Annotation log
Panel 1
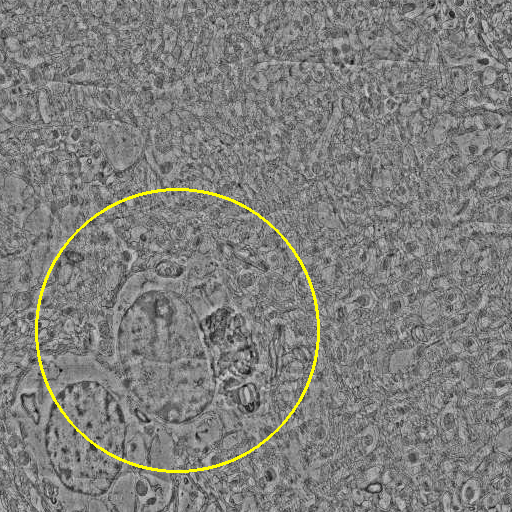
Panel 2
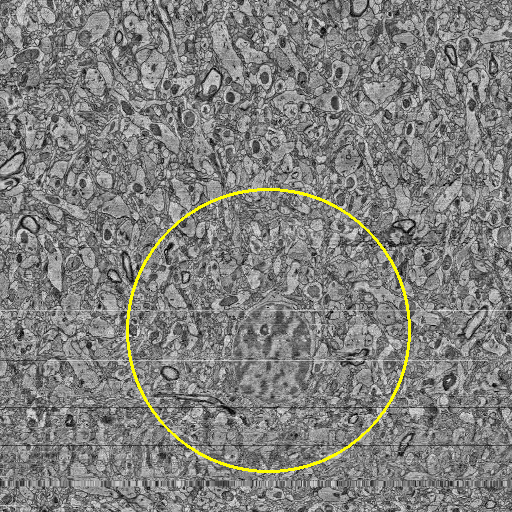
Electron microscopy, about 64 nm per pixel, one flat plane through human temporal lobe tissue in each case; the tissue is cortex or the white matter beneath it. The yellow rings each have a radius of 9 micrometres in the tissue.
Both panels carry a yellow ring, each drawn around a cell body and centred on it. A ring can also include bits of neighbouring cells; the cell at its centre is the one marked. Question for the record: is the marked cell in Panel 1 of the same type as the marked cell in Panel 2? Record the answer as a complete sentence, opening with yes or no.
No, the marked cells in Panel 1 and Panel 2 are of two types.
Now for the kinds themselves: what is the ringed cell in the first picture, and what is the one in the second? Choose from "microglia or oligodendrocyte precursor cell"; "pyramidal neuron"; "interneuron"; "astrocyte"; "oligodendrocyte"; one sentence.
Here the first cell is an astrocyte and the second cell is an oligodendrocyte.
